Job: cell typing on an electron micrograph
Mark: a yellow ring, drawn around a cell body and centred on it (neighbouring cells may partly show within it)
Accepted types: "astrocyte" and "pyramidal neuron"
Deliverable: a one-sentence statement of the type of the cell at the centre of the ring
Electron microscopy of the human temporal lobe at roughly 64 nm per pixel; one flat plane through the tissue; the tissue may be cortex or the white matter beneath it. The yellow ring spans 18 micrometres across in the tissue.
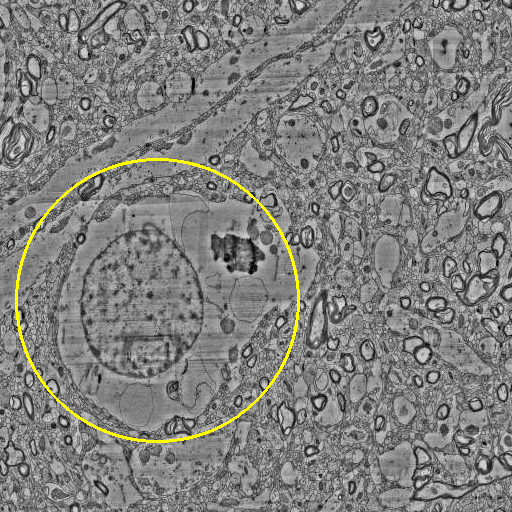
The centred cell body is that of an astrocyte.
